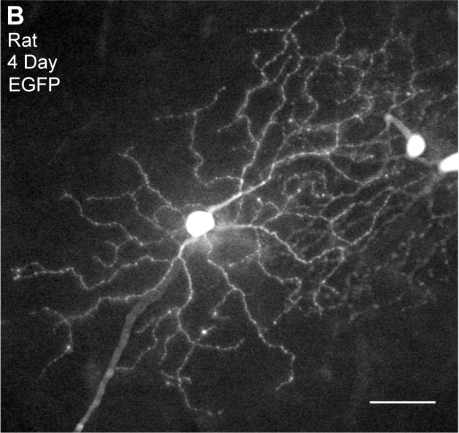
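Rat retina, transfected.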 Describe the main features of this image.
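A round cell body sits near the centre, and from it several primary dendrites branch again and again into a wide, dense field of thin, beaded processes. A thicker, smooth process leaves the cell body and runs straight toward the lower left, as an axon would. Other bright cell bodies lie at the upper right edge of the field.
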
